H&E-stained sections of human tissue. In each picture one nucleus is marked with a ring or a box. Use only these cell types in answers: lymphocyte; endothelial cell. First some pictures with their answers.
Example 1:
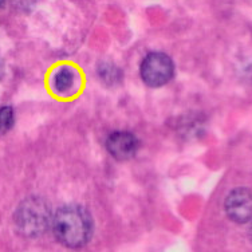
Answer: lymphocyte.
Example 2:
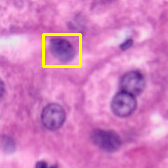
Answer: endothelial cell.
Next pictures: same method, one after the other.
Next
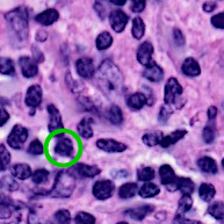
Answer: lymphocyte.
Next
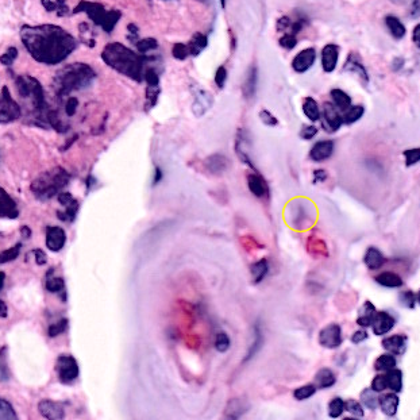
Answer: endothelial cell.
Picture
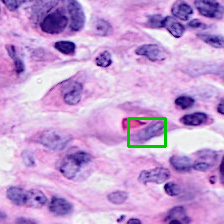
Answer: endothelial cell.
